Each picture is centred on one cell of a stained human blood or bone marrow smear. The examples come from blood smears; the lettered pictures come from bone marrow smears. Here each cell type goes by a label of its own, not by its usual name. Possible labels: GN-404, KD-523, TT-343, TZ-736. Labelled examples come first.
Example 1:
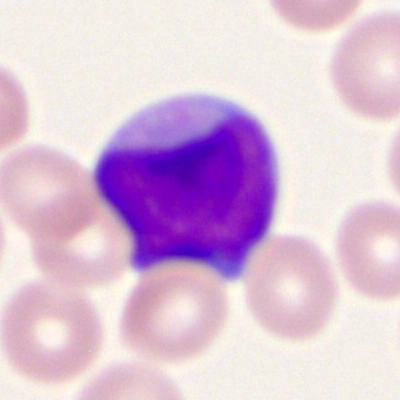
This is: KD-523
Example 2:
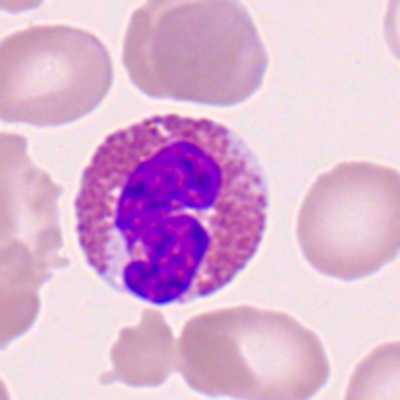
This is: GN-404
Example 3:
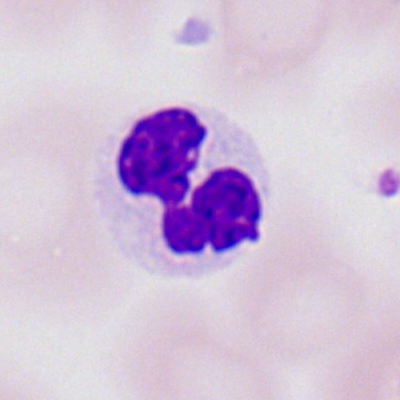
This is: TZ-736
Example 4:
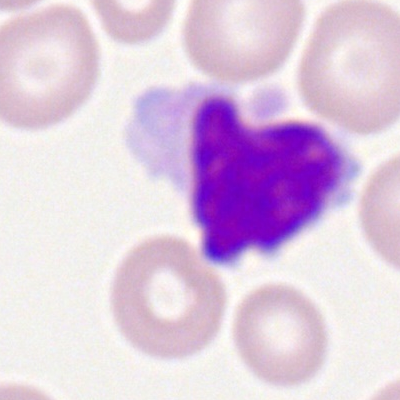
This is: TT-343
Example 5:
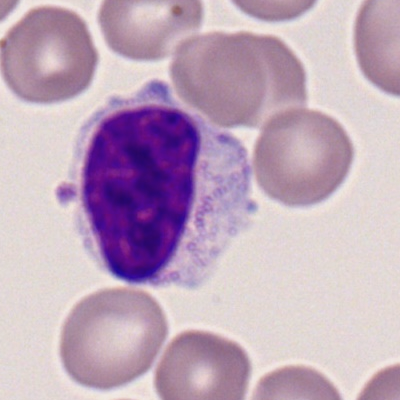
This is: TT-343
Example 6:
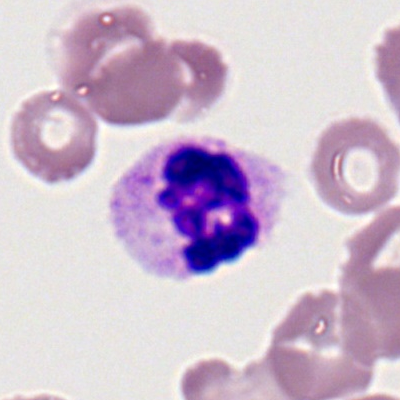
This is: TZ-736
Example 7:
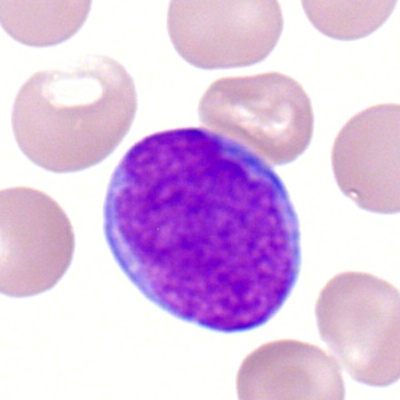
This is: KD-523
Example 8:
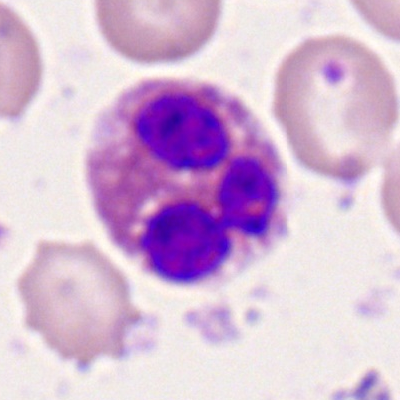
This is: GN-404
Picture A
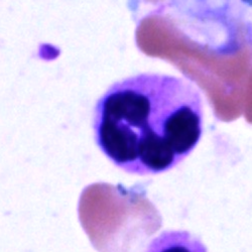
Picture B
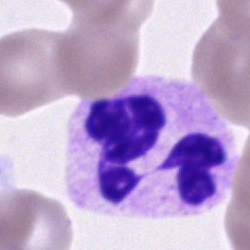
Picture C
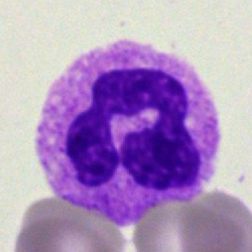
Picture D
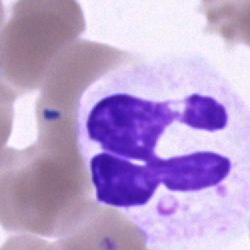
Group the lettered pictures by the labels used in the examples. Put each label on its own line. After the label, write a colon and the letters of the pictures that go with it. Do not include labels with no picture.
TZ-736: A, B, C, D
